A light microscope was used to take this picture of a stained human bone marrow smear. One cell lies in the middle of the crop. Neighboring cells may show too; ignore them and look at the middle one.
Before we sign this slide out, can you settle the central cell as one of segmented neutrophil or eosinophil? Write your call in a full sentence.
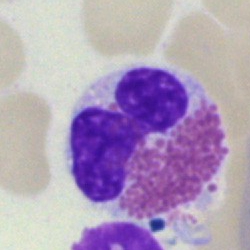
The cell centered in this field of view is an eosinophil.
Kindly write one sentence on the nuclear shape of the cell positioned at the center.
We find a nucleus divided into at least two lobes.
